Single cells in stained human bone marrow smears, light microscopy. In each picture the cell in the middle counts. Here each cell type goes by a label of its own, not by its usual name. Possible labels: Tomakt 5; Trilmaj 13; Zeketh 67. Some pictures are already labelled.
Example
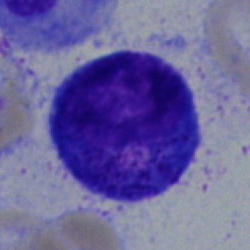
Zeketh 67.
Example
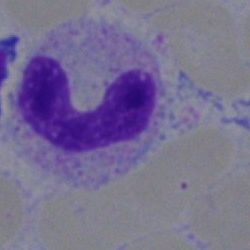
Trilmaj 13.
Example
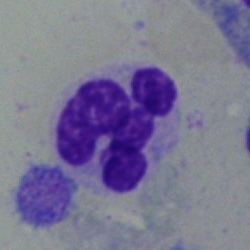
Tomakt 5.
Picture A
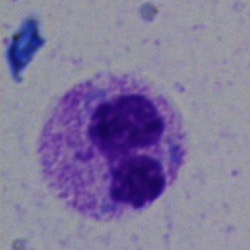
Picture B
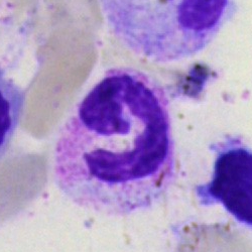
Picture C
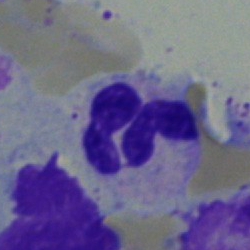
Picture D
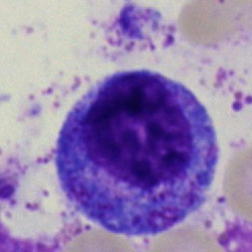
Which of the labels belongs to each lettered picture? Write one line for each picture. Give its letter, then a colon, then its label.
A: Tomakt 5.
B: Tomakt 5.
C: Tomakt 5.
D: Zeketh 67.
